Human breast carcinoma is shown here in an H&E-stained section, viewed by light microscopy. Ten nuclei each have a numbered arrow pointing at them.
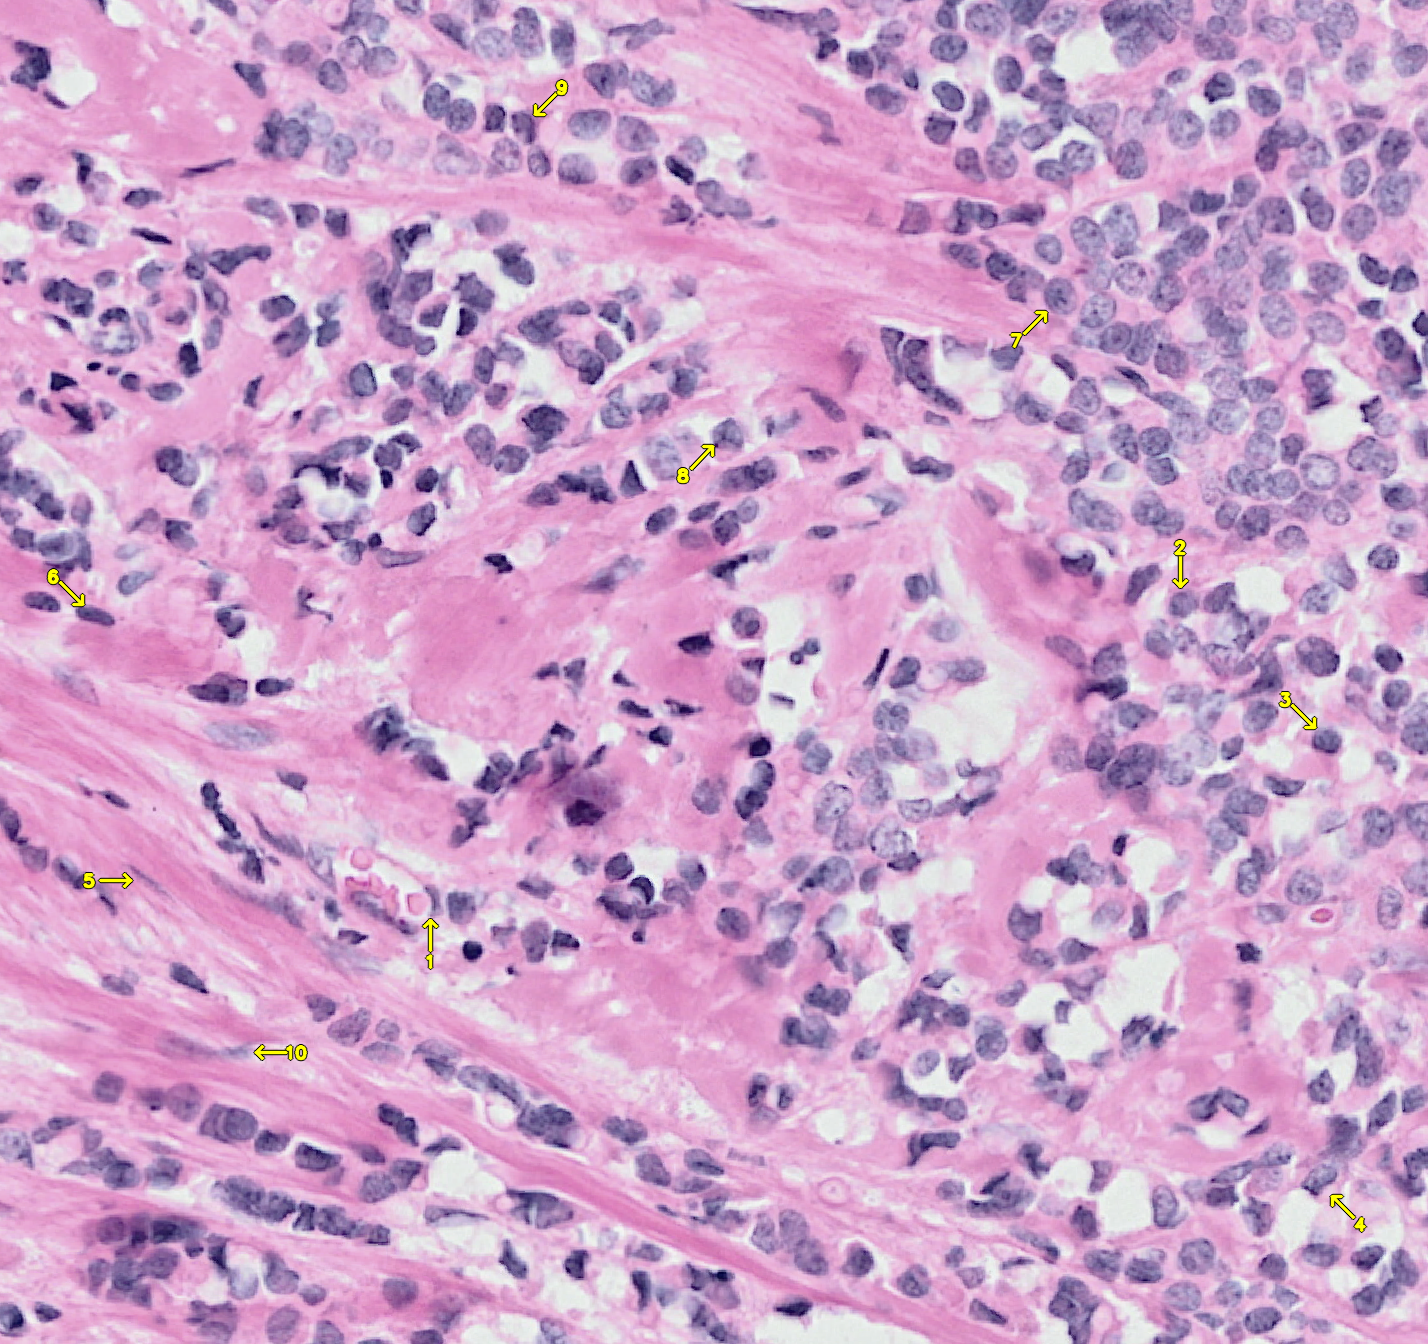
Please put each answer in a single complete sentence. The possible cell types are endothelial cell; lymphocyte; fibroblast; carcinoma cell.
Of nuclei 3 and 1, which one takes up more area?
Number 3 is larger; its area is about 2 times that of number 1.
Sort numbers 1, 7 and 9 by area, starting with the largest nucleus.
Largest first, the order by area is 7, 9, 1.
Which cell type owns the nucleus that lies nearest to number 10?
It is a fibroblast whose nucleus is nearest to number 10.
